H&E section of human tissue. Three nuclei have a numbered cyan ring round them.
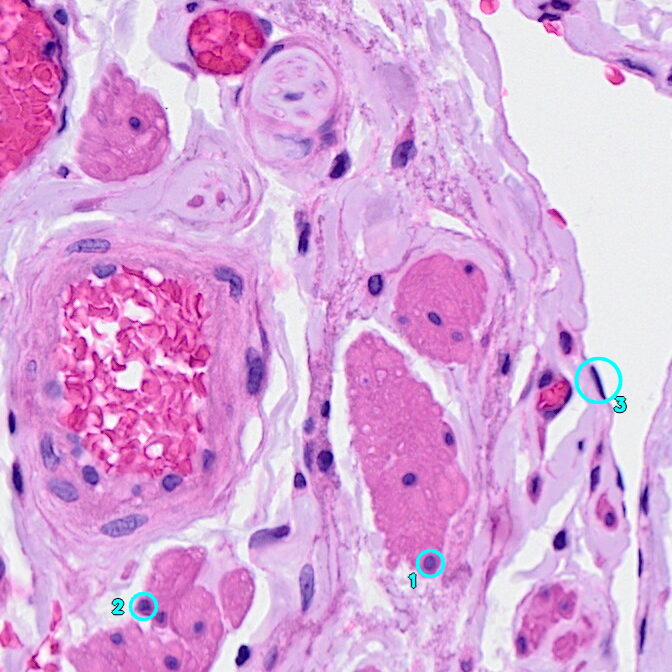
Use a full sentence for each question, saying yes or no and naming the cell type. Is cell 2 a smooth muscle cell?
Yes, the cell whose nucleus carries number 2 is a smooth muscle cell.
